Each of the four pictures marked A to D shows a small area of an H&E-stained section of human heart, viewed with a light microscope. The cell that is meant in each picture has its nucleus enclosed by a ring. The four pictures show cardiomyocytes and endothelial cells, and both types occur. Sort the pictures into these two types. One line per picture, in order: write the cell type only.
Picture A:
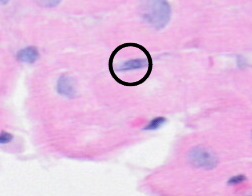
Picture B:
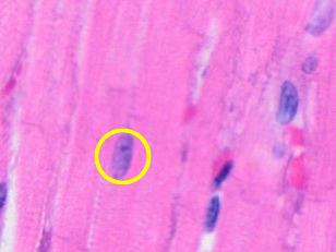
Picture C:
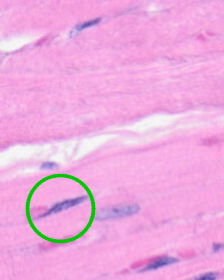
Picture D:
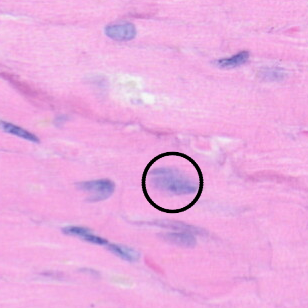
endothelial cell
cardiomyocyte
endothelial cell
cardiomyocyte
